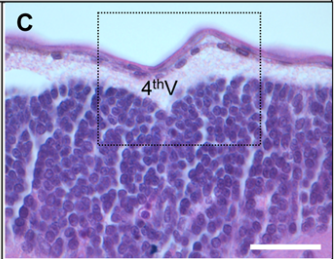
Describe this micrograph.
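Below, the neural tissue is packed with many small, round, dark purple nuclei that have little surrounding cytoplasm. These nuclei lie in loose vertical columns. Above this tissue, a narrow pale space forms the ventricle. The ventricle is covered by a thin roof that stains pink and contains a few flattened cells with elongated nuclei.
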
